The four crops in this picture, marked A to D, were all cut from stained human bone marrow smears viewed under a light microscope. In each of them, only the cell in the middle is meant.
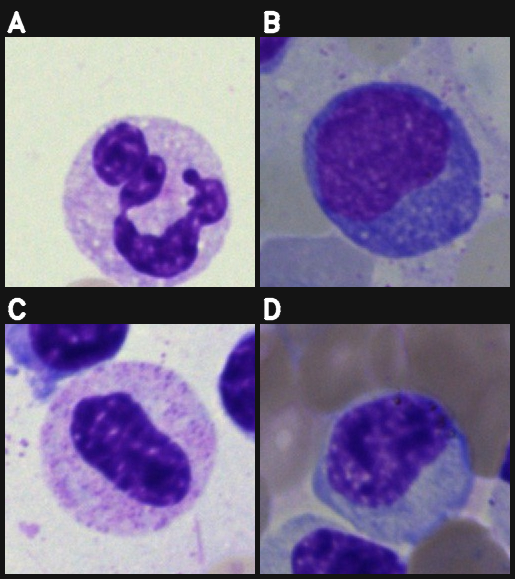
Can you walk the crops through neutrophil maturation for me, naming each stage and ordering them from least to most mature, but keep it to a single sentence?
Listed from least to most mature, the crops read crop B (a promyelocyte), crop D (a myelocyte), crop C (a band neutrophil) and crop A (a segmented neutrophil).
